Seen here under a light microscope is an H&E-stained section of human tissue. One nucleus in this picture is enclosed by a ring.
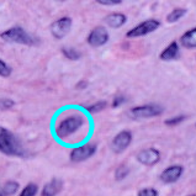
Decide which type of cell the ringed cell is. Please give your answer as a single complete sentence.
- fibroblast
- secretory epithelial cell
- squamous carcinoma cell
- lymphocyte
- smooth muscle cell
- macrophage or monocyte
Assigned to a cell type, the ringed cell is a smooth muscle cell.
